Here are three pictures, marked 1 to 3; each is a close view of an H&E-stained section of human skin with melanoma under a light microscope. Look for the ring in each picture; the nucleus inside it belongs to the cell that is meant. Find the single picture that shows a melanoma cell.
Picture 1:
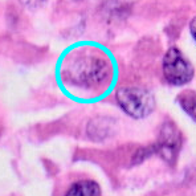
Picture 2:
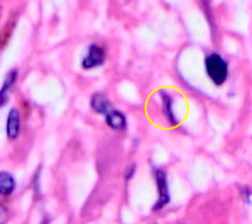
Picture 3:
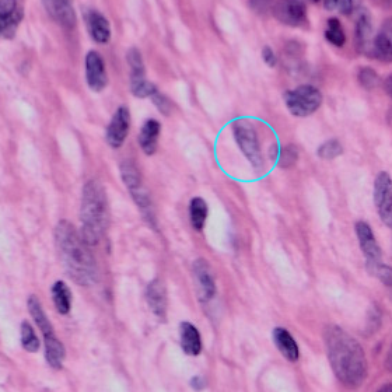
1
